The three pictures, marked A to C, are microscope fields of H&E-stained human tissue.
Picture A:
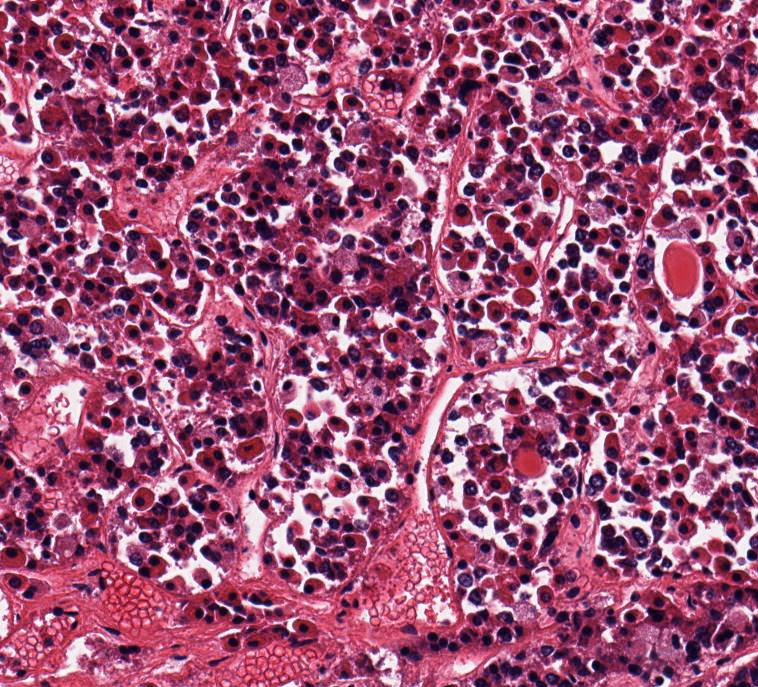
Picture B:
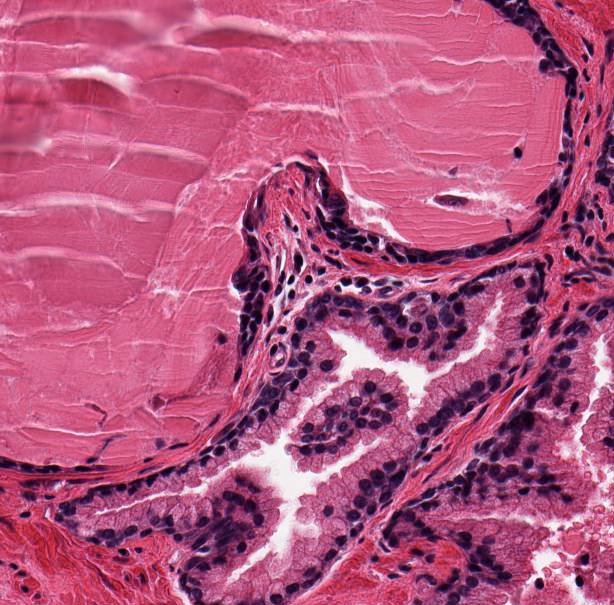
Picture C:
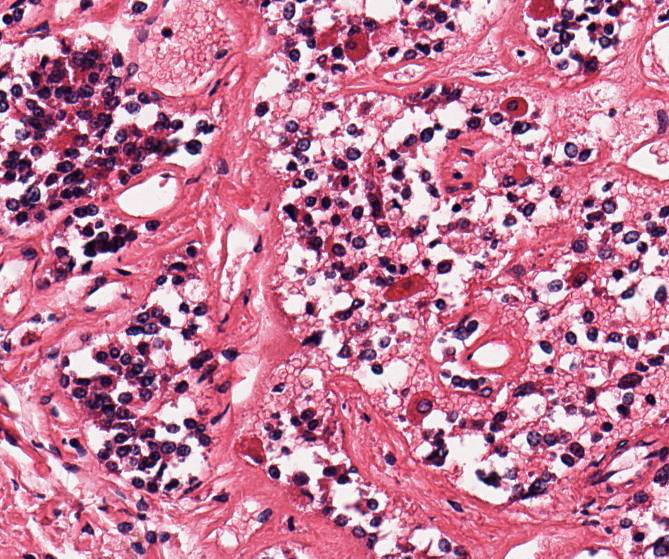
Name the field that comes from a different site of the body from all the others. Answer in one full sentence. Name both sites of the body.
Picture B is the odd one out: it comes from the prostate, while the others come from the pituitary.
